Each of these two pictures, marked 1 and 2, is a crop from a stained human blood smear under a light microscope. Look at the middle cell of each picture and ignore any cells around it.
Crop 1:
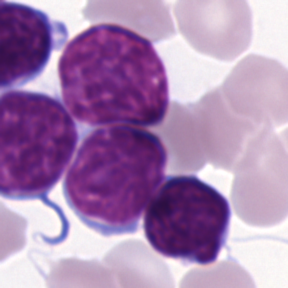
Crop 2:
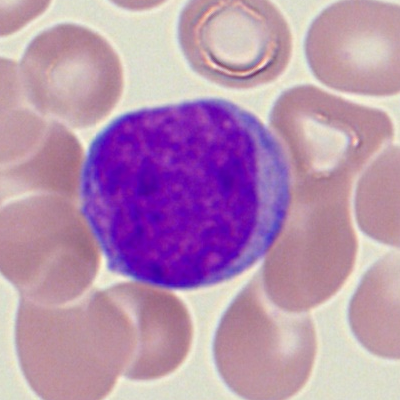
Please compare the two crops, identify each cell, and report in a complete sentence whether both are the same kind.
Yes, the central cells, in both crops, are blasts.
